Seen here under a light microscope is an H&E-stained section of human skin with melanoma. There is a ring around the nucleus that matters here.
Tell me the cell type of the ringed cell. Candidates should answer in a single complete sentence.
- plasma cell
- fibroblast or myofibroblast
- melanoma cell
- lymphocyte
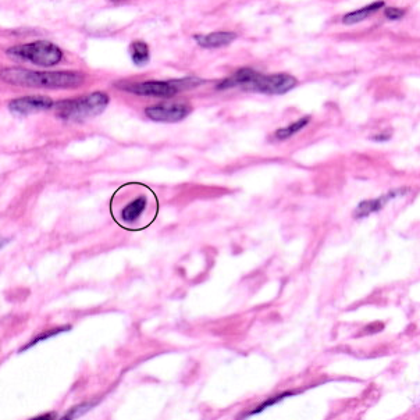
Just put down that the ringed cell is a lymphocyte.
